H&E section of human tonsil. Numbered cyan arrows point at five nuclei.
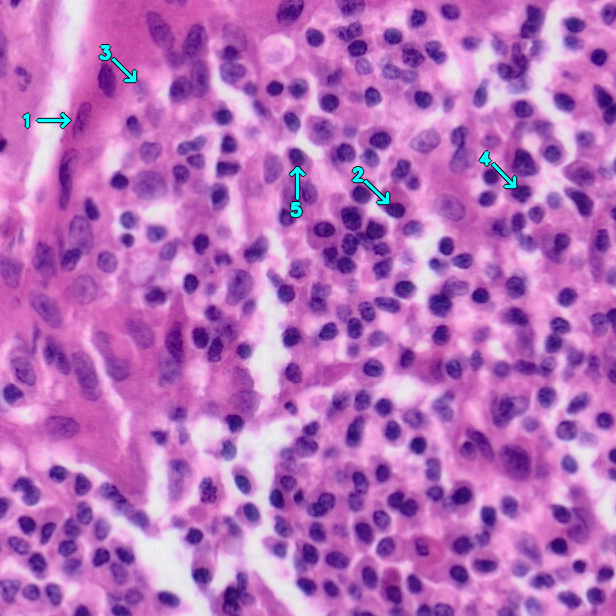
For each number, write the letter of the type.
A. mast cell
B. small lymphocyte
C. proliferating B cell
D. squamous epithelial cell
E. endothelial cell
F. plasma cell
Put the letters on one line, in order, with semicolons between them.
D; F; D; F; F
